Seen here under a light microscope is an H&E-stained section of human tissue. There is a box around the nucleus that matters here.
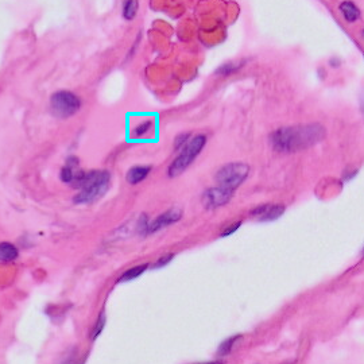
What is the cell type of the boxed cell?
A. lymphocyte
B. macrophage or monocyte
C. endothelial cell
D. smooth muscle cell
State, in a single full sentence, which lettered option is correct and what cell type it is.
Option C names it right: the boxed cell is an endothelial cell.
